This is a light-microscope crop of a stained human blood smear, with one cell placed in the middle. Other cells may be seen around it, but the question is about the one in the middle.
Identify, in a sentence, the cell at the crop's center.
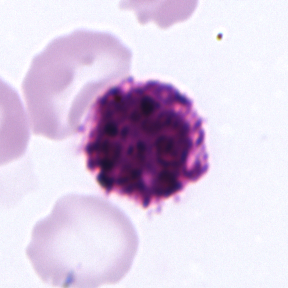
The cell sitting right in the middle is a basophil.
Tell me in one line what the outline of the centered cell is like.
In outline, the cell is irregular, ragged in stretches or drawn into projections.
